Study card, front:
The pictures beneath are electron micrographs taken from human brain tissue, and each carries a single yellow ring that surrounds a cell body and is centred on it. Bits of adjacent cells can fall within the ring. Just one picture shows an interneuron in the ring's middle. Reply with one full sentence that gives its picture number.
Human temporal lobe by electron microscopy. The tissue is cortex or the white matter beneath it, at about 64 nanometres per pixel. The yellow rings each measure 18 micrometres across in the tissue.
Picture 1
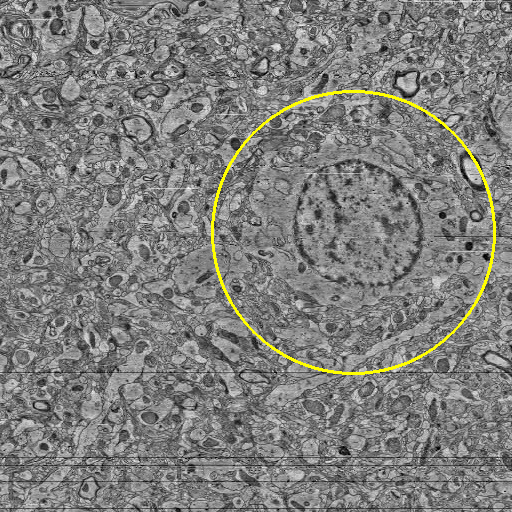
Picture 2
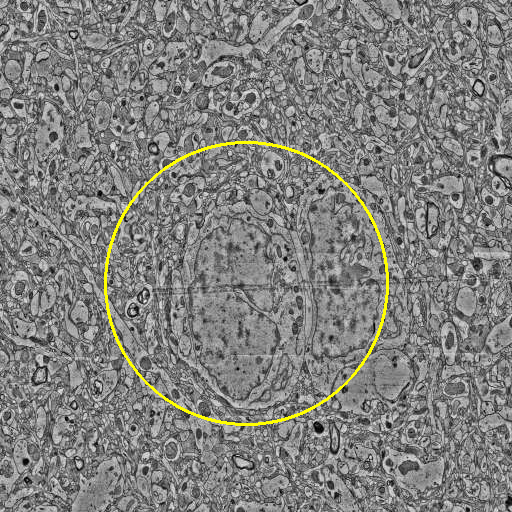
Picture 2 is the one whose ring has the requested cell at its centre.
